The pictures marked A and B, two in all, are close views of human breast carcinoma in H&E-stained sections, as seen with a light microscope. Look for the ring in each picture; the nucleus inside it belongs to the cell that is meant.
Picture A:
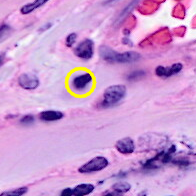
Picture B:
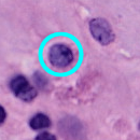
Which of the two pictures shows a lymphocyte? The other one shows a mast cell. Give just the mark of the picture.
A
